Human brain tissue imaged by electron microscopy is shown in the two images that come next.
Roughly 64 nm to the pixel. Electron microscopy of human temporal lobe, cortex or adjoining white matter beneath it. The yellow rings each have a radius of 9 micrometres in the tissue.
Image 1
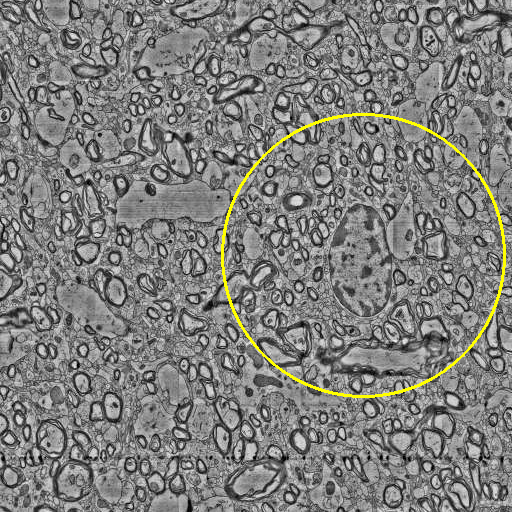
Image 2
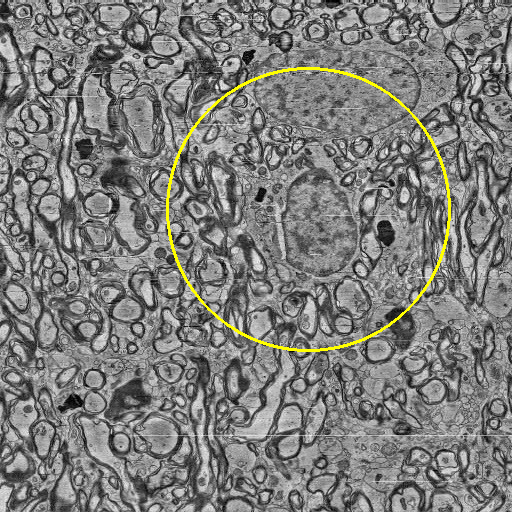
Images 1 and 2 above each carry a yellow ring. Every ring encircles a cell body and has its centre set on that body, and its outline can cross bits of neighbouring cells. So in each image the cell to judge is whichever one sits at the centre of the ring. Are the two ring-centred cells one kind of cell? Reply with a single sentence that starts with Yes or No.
No, in Image 1 and Image 2 the cells at the centres of their rings fall into two types.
